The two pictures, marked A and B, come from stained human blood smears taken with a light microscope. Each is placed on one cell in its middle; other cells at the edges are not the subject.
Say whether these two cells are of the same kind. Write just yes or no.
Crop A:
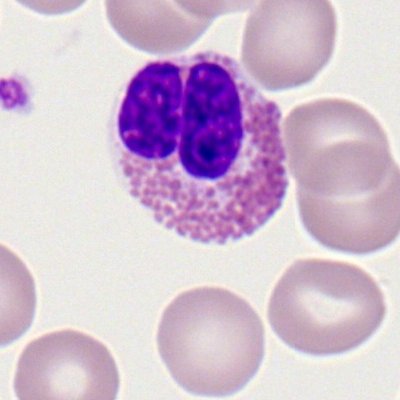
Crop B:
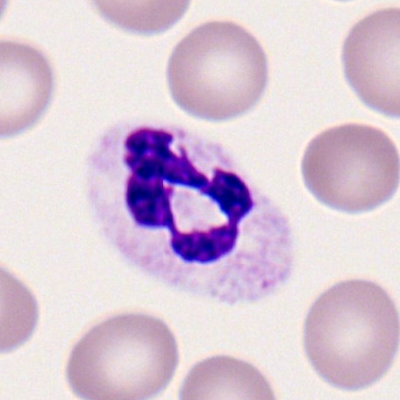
no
